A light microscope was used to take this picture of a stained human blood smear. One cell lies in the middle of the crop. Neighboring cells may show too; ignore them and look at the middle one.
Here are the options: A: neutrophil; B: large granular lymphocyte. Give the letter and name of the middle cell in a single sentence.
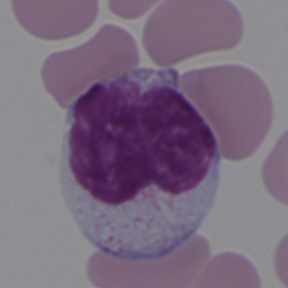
The correct choice is option B, which identifies the middle cell as a large granular lymphocyte.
